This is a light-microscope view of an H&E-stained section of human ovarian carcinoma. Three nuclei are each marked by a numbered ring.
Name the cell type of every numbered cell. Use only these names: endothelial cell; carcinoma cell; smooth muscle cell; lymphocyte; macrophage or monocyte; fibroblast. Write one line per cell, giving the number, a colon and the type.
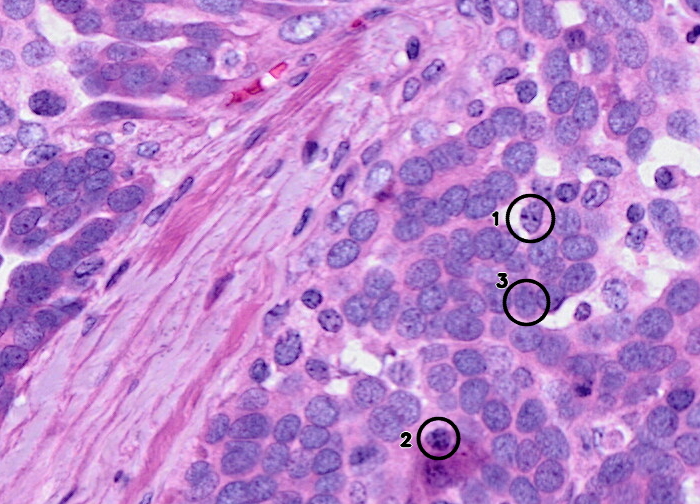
1: macrophage or monocyte
2: lymphocyte
3: carcinoma cell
